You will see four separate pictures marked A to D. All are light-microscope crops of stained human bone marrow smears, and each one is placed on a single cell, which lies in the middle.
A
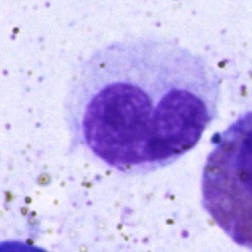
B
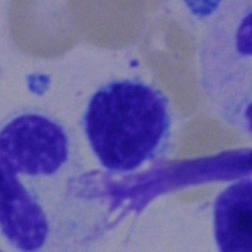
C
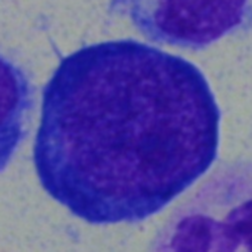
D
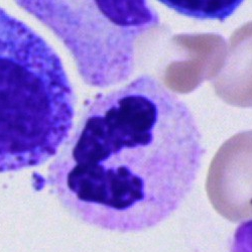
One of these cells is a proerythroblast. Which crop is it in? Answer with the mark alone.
C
